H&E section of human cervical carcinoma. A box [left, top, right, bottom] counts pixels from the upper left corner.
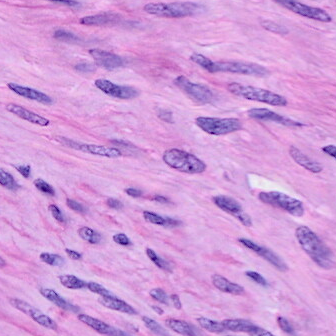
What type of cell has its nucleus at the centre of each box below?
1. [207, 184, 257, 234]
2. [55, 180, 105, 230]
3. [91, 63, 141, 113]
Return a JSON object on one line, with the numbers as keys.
{"1": "fibroblast", "2": "smooth muscle cell", "3": "fibroblast"}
